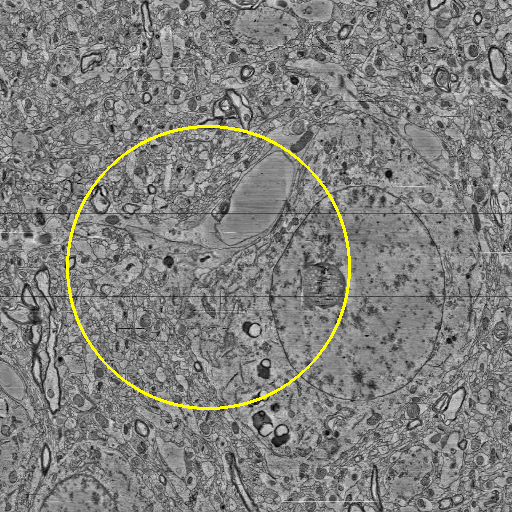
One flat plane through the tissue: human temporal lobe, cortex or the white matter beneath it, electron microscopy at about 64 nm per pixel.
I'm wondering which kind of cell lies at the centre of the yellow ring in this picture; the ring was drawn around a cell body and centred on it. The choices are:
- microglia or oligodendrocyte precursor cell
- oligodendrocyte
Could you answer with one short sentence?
At the centre of the ring lies a microglial cell or oligodendrocyte precursor cell.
